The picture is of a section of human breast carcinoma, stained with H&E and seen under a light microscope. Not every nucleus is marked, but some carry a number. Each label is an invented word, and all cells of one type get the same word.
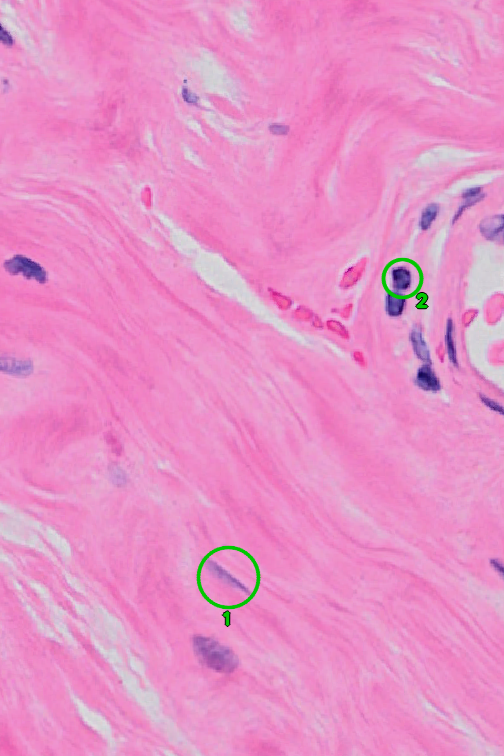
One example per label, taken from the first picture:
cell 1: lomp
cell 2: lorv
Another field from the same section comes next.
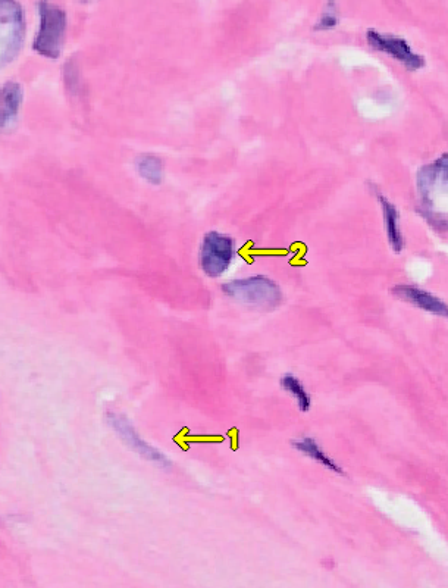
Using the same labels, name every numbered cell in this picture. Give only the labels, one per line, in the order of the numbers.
lomp
lorv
